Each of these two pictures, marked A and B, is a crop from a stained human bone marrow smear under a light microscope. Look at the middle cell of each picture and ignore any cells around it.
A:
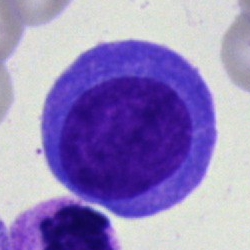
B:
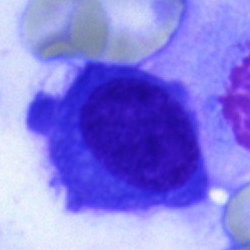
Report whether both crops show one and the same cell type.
yes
